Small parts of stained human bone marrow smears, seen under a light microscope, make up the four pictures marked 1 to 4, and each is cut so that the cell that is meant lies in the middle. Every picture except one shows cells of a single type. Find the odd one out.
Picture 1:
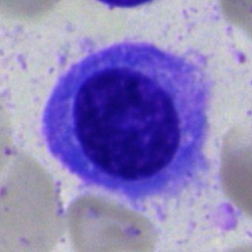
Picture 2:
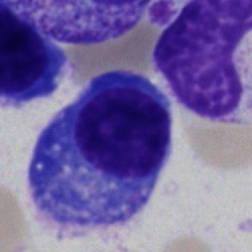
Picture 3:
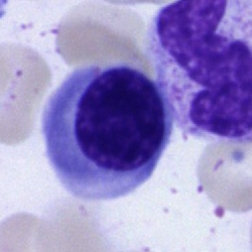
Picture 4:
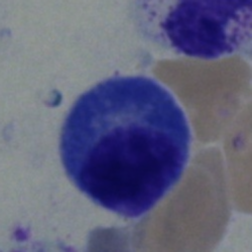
3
